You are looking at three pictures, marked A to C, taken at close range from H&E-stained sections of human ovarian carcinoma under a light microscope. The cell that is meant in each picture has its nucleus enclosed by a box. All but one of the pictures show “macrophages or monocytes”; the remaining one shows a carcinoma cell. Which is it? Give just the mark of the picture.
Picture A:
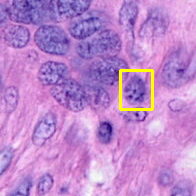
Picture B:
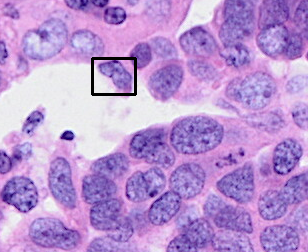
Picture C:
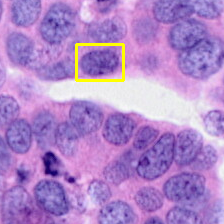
C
